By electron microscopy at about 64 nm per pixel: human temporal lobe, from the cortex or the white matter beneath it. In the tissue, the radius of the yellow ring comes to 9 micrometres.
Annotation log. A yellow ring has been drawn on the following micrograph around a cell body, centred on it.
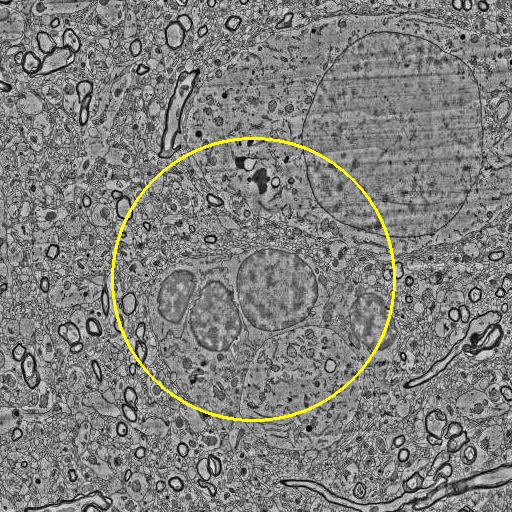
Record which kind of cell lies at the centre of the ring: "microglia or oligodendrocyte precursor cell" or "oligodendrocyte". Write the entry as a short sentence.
The cell the ring is centred on is an oligodendrocyte.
